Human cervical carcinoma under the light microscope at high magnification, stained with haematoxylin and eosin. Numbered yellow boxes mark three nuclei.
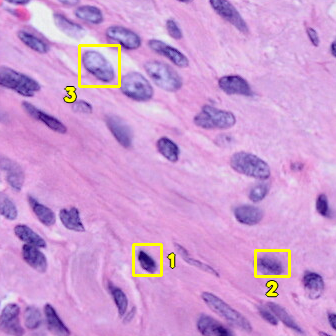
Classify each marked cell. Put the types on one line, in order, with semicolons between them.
lymphocyte; fibroblast; endothelial cell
